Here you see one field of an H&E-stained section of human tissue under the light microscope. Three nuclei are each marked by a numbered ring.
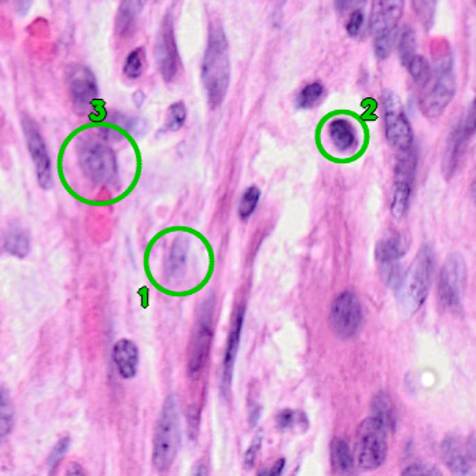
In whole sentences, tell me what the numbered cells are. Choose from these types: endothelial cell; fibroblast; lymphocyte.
Cell 1 is a fibroblast, cell 2 is a lymphocyte and cell 3 is an endothelial cell.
